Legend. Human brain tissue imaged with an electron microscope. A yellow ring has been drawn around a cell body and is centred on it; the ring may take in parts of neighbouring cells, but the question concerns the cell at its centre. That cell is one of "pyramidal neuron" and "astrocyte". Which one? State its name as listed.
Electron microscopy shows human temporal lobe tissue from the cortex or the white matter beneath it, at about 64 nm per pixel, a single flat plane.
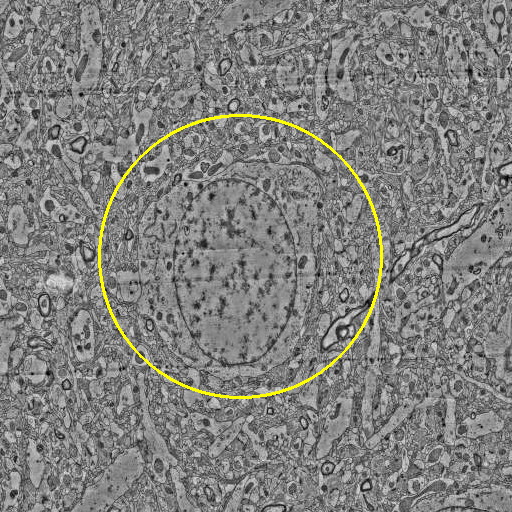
pyramidal neuron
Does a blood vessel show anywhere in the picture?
No, no vessel appears in the picture.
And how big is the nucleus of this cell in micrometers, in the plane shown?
The ringed cell's nucleus is roughly 12 by 8 micrometres and clearly longer than it is wide in this plane.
